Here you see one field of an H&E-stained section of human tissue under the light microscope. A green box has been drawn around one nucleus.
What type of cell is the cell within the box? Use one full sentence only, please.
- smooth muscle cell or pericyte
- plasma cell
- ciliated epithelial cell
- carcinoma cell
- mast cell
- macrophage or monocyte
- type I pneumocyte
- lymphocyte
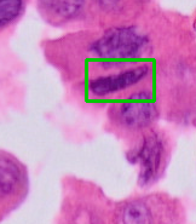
What the cell within the box represents is a carcinoma cell.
